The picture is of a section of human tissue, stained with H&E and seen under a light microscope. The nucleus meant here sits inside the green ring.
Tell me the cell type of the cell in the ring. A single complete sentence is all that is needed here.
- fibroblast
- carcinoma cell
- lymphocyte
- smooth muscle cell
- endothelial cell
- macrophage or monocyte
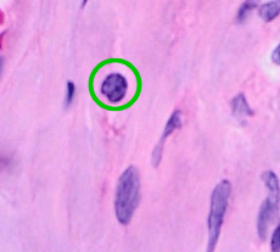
The cell type of the cell in the ring is that of a lymphocyte.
